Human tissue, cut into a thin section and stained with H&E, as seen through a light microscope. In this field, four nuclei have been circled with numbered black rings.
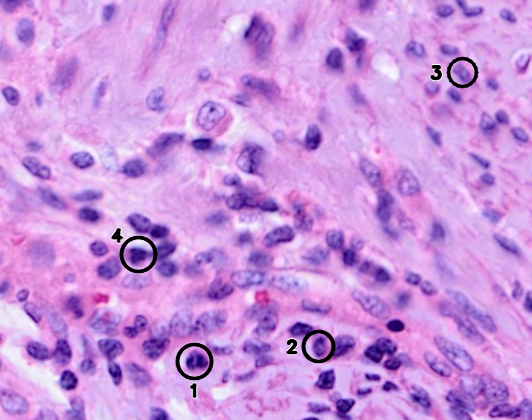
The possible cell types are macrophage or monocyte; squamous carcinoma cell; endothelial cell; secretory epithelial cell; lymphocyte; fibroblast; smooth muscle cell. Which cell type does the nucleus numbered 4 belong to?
lymphocyte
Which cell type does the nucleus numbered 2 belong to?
lymphocyte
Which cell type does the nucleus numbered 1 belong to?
lymphocyte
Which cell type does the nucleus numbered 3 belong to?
smooth muscle cell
